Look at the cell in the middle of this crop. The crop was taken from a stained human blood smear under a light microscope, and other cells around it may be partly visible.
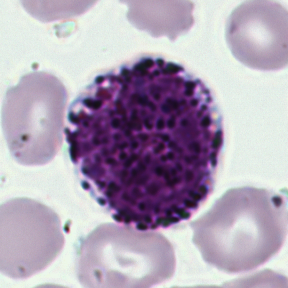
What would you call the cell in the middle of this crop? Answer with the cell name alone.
basophil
